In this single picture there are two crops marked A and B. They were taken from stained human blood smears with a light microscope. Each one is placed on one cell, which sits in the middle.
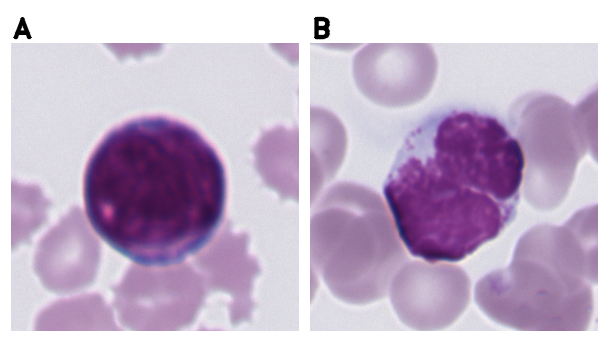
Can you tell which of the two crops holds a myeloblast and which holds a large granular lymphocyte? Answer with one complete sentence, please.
Crop A presents a myeloblast, and crop B presents a large granular lymphocyte.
